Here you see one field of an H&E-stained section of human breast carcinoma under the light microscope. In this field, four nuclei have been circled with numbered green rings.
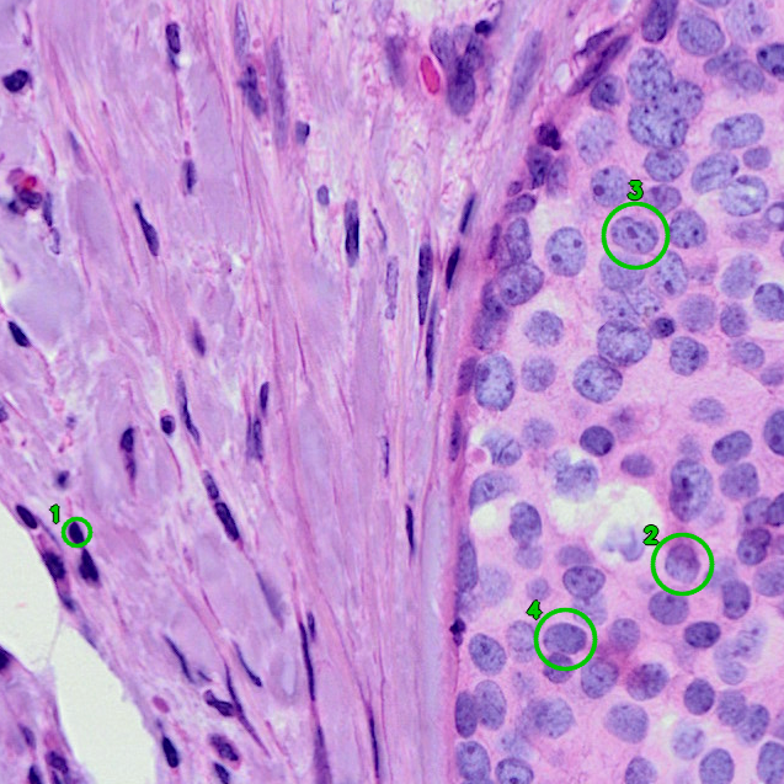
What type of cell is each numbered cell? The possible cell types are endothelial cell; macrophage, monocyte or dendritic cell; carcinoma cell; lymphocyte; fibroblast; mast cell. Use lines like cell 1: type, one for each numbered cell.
cell 1: lymphocyte
cell 2: carcinoma cell
cell 3: carcinoma cell
cell 4: carcinoma cell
